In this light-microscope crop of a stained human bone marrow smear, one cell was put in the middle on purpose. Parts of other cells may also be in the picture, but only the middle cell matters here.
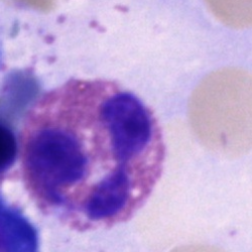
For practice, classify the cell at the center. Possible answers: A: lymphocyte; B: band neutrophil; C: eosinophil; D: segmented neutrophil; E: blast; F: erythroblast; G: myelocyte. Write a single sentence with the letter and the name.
The expected answer is option C, the central cell being an eosinophil.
